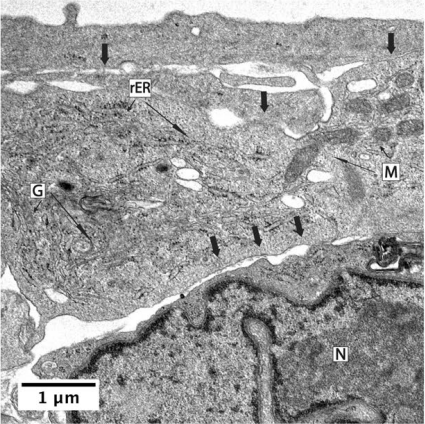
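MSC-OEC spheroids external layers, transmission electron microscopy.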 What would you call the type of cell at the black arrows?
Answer: Elongated cells.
